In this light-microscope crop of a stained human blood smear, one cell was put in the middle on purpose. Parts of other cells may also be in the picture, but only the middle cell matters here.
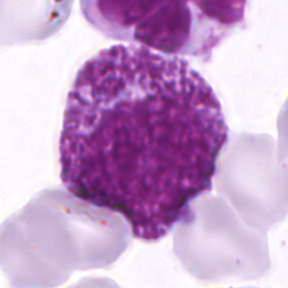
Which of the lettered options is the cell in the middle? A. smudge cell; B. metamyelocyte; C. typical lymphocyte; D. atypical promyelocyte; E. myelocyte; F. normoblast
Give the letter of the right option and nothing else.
E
